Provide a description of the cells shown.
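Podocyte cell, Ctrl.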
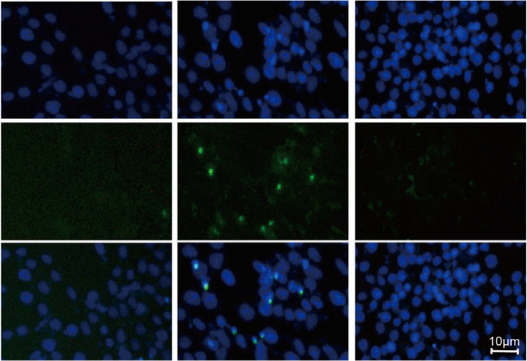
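These are cultured cells shown as a grid of small fluorescence images, with blue nuclei above, green below, and the two overlaid at the bottom. The nuclei are round to oval and fairly evenly spread, as in a single layer, with dark space between them where the cytoplasm is unstained. In most images the green is only a faint, diffuse background. In the middle column a few small, bright green dots stand out. In the overlay these dots fall on or beside blue nuclei.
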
